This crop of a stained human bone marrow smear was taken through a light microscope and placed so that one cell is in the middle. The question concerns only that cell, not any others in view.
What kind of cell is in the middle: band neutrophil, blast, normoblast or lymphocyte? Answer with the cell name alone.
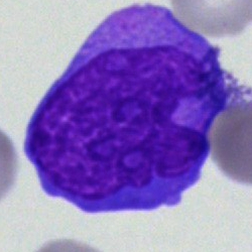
blast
